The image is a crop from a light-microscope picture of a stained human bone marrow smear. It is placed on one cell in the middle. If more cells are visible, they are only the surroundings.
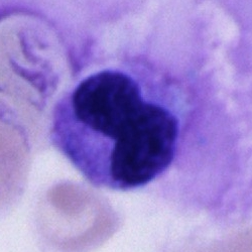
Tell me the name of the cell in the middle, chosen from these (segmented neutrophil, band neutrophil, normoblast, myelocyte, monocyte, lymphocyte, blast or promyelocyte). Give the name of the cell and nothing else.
band neutrophil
